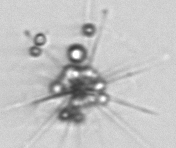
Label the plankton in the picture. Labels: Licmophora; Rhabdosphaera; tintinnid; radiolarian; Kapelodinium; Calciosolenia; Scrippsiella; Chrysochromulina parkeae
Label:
radiolarian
